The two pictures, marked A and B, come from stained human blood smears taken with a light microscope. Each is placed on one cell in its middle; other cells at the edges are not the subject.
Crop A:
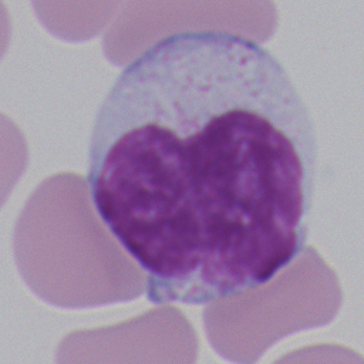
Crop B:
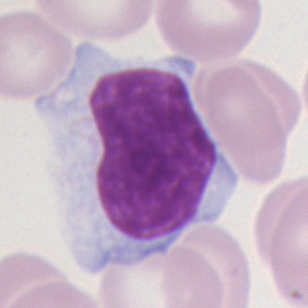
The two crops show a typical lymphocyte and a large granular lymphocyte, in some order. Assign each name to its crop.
A: large granular lymphocyte
B: typical lymphocyte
